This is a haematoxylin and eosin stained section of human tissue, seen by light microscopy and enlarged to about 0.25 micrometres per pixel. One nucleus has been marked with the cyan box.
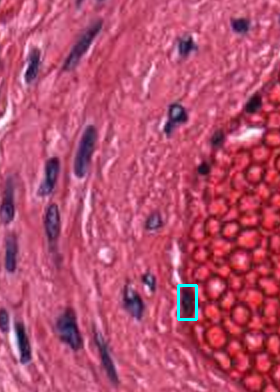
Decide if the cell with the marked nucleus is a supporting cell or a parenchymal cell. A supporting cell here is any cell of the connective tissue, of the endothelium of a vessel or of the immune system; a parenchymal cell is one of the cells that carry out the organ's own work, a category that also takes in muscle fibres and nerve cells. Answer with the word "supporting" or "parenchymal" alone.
supporting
